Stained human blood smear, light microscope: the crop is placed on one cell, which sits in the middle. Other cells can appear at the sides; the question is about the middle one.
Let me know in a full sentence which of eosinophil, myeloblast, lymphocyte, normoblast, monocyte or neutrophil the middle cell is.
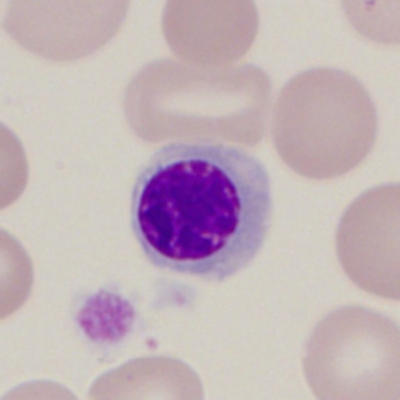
Here the cell in the middle is a normoblast.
